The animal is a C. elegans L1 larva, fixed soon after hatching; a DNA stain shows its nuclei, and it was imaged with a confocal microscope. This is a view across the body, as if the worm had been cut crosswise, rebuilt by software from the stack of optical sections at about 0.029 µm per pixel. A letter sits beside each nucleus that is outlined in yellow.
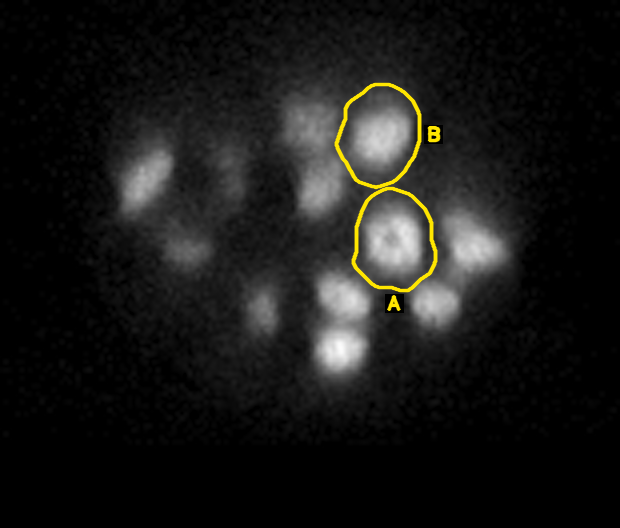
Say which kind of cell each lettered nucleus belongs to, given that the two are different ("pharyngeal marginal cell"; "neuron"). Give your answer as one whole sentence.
One is from a pharyngeal marginal cell, namely A, and the other, B, is from a neuron.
